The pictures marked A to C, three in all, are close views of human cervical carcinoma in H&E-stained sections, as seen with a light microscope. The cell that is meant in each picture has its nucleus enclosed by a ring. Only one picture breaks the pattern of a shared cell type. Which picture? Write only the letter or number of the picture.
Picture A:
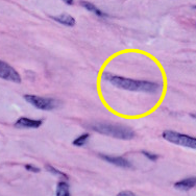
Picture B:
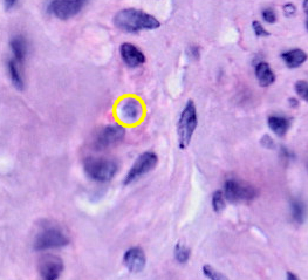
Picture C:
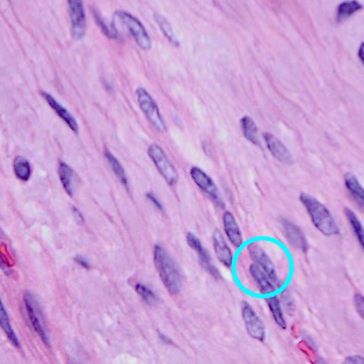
A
